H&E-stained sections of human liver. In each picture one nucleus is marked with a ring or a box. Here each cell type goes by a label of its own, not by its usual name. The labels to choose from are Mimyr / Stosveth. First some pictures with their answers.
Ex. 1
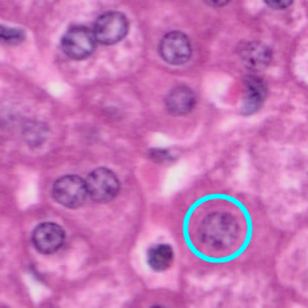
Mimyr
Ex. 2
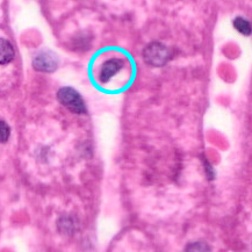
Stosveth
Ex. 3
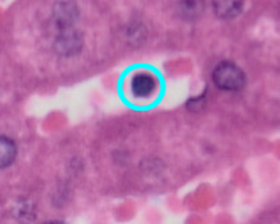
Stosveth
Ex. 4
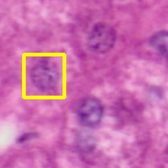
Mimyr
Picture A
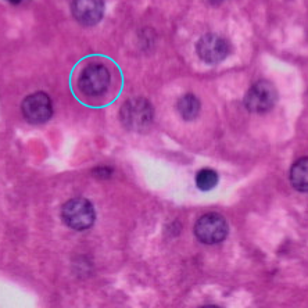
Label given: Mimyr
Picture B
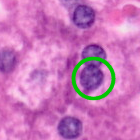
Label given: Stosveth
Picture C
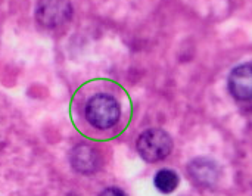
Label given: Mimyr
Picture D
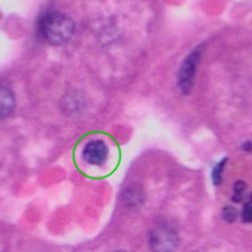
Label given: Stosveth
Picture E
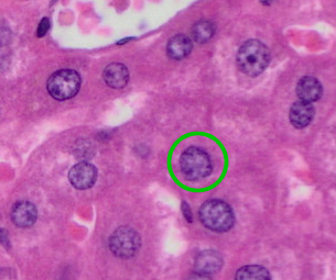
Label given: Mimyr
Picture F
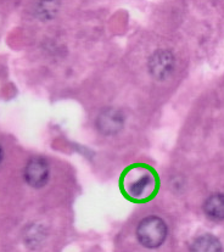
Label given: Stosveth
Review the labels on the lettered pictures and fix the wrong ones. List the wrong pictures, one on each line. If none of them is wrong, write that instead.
B is labelled Stosveth; correct label: Mimyr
